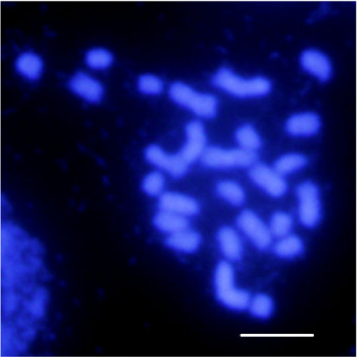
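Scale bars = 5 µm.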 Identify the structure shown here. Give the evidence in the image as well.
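Mitotic chromosome spreads. Many short, compact blue-fluorescent bodies lie separately in a cluster. A diffuse blue mass lies at the lower left edge.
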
